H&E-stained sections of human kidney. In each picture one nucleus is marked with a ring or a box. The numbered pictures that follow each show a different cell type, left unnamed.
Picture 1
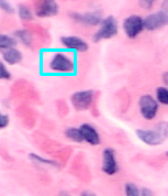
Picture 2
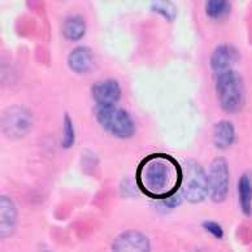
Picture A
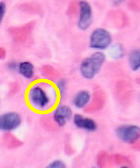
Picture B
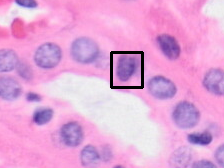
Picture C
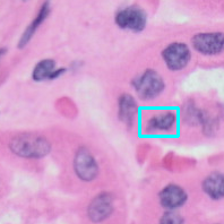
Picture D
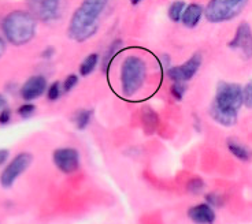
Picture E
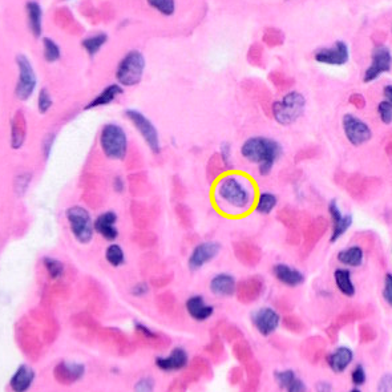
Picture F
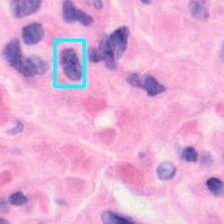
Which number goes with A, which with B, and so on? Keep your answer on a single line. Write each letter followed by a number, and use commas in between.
A 1, B 2, C 2, D 1, E 1, F 1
